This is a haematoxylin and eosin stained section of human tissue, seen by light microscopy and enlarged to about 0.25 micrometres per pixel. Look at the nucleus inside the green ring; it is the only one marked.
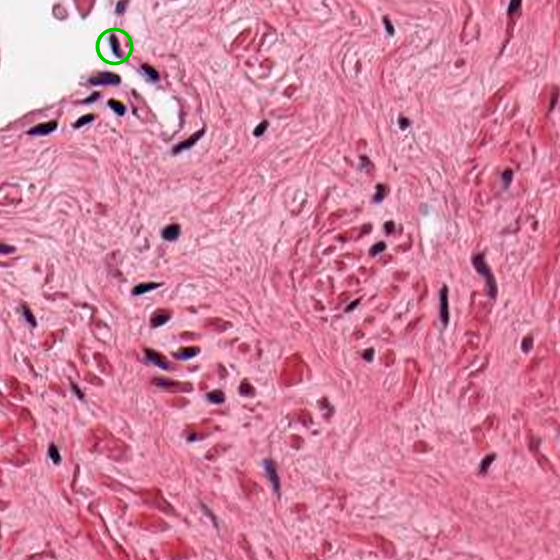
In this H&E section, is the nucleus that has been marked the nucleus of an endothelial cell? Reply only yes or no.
yes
